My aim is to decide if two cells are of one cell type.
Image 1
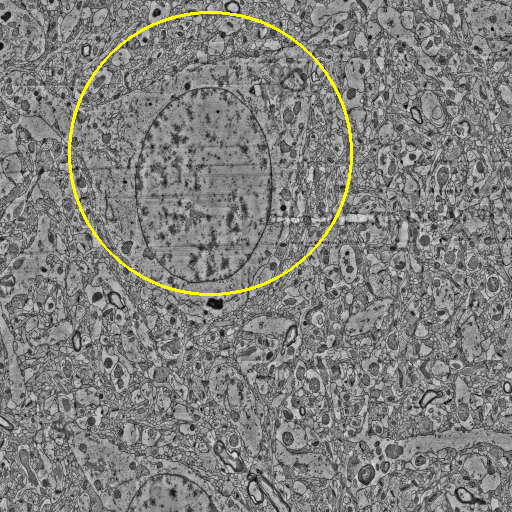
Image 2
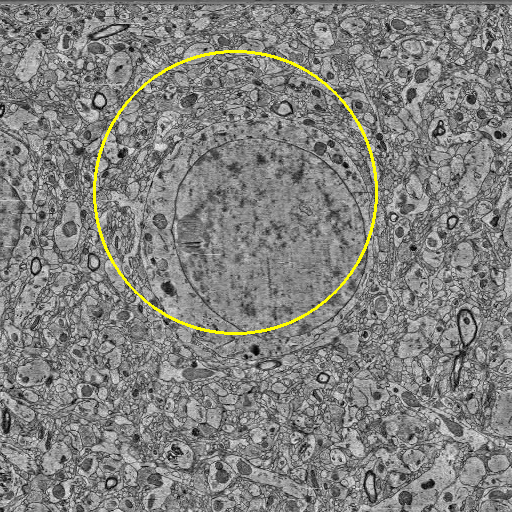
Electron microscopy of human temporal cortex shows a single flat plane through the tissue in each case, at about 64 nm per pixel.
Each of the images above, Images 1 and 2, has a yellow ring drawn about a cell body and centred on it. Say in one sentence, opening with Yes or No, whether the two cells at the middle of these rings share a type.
Yes, in Images 1 and 2 the cells at the middle of the rings share one type.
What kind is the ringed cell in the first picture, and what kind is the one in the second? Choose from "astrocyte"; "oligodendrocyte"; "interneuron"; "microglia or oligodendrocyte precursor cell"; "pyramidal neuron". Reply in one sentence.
The first and the second cell are each a pyramidal neuron.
